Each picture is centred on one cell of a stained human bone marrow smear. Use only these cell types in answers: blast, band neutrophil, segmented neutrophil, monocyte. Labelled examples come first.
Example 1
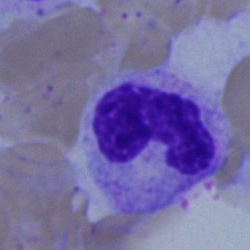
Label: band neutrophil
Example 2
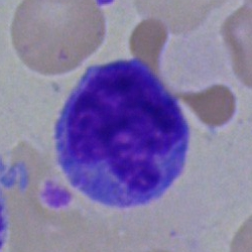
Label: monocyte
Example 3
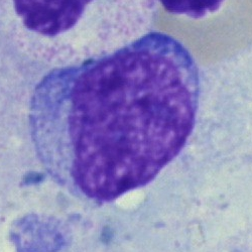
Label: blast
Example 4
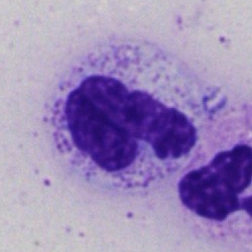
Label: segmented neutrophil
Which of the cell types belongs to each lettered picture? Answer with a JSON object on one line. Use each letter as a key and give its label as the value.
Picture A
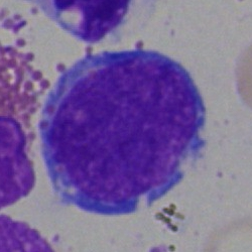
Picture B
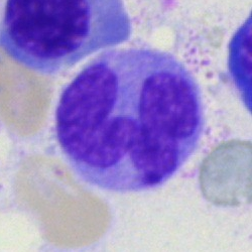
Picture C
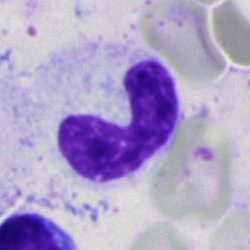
{"A": "blast", "B": "monocyte", "C": "band neutrophil"}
